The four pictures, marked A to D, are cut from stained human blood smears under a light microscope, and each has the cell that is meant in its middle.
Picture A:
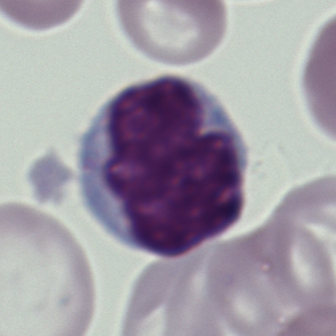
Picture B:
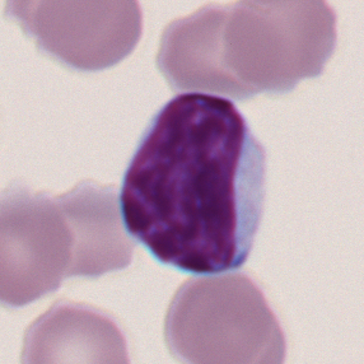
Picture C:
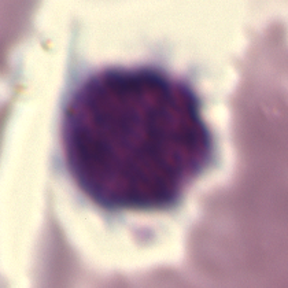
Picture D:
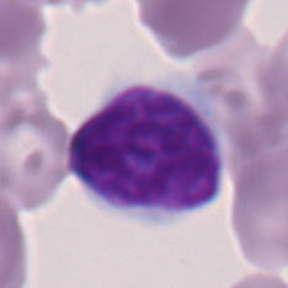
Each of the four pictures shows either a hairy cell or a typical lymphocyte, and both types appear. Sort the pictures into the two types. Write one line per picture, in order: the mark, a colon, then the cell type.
A: typical lymphocyte
B: typical lymphocyte
C: hairy cell
D: hairy cell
